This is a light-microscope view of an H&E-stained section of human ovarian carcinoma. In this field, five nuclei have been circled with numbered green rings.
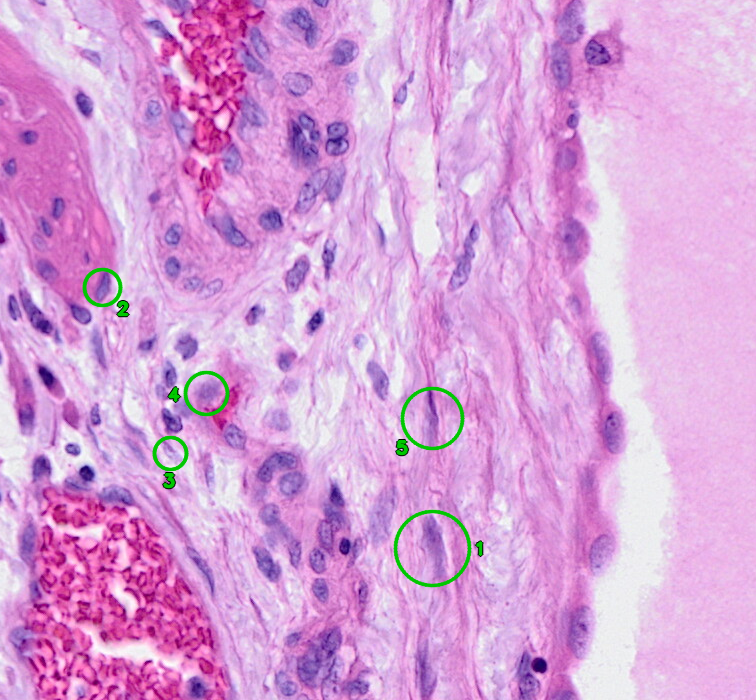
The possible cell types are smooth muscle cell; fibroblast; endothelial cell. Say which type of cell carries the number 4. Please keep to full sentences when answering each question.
The cell identified by number 4 is an endothelial cell.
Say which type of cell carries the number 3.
Within this field of view, the cell labelled 3 is a fibroblast.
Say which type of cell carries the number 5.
The nucleus with number 5 is that of a fibroblast.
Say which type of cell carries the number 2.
Heads up, the cell numbered 2 is a smooth muscle cell.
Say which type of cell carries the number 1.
In the marked set, the cell given number 1 is a fibroblast.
